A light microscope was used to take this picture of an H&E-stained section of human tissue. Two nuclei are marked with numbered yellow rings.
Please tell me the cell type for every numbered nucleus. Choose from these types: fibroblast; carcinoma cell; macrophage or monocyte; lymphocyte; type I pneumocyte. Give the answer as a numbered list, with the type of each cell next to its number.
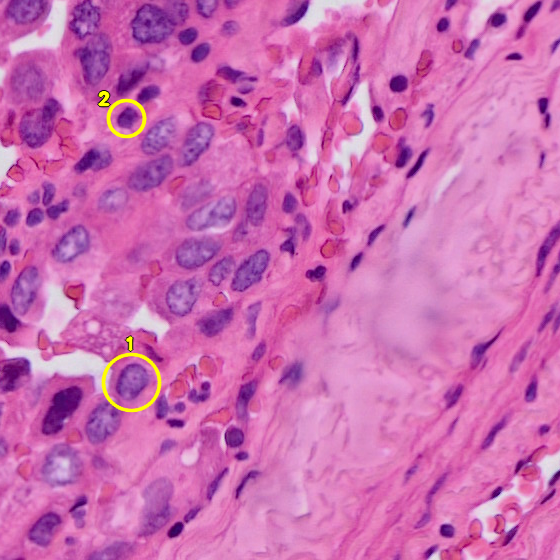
1. carcinoma cell
2. lymphocyte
